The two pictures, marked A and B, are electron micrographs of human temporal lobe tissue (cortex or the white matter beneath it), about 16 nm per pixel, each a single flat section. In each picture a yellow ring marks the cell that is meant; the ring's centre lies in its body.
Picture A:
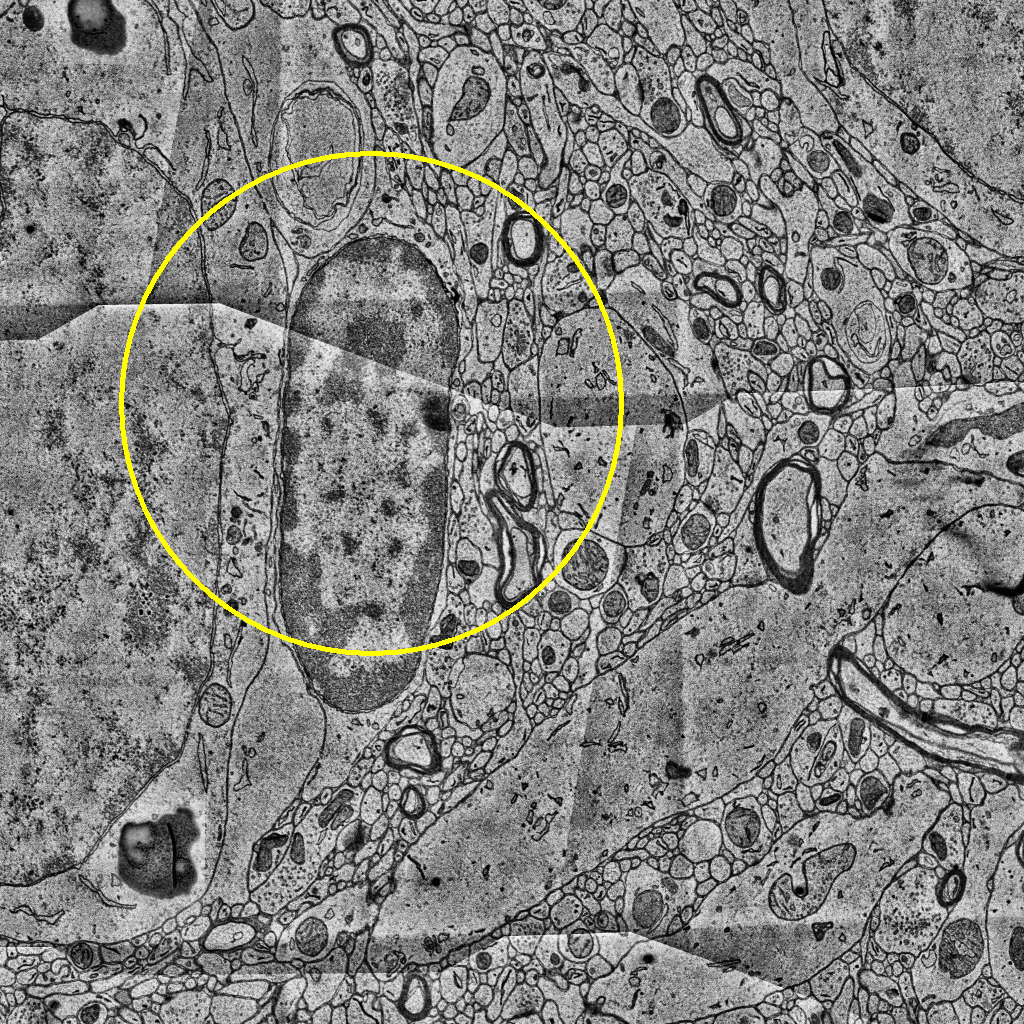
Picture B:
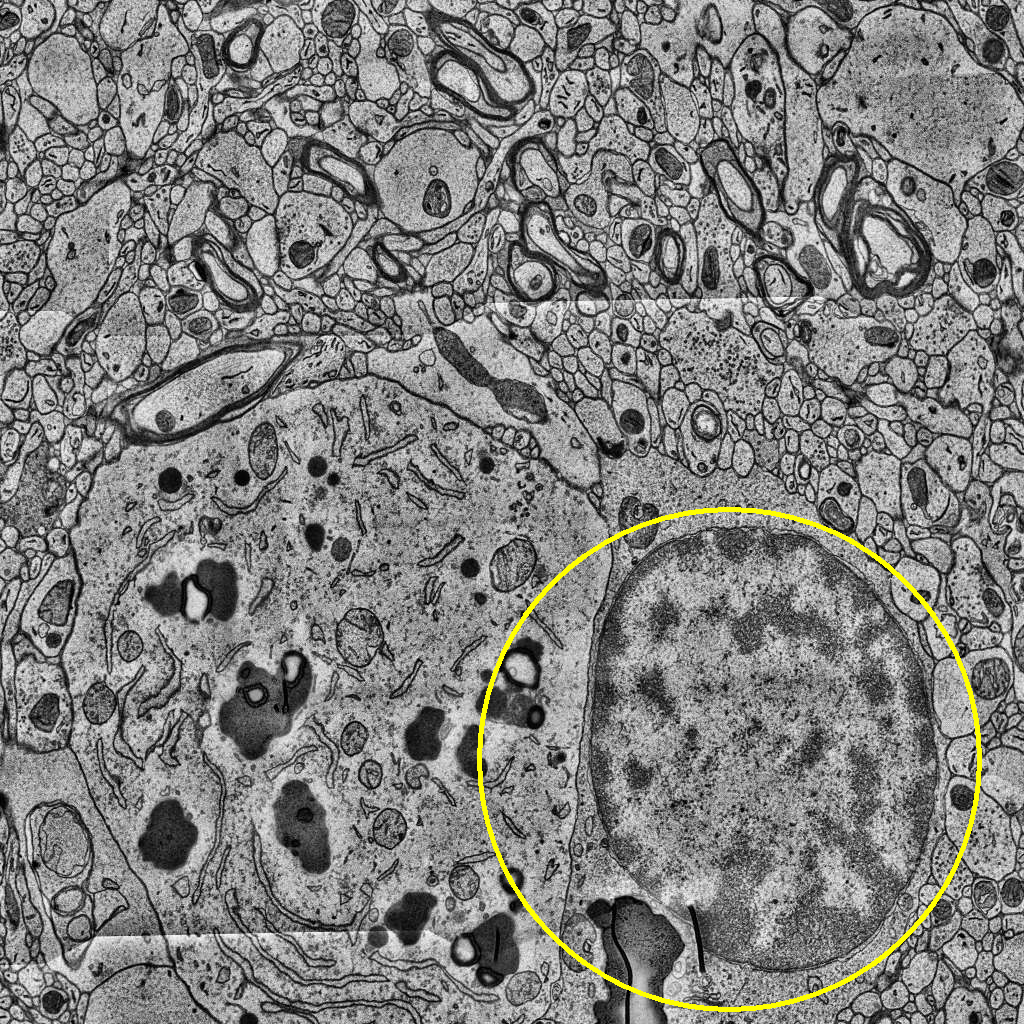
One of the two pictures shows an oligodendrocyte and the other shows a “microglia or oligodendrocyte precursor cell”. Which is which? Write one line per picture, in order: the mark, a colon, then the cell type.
A: microglia or oligodendrocyte precursor cell
B: oligodendrocyte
